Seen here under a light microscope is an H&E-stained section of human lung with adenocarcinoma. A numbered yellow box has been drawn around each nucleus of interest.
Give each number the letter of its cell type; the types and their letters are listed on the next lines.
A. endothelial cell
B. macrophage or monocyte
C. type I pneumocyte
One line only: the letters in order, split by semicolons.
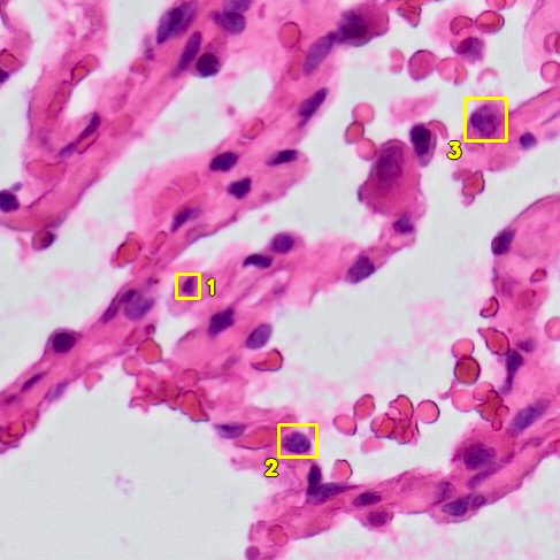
A; C; B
